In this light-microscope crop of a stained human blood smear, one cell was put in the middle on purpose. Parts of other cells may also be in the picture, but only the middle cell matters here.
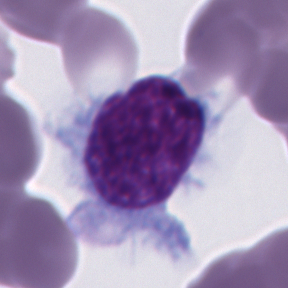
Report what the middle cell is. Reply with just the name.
hairy cell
